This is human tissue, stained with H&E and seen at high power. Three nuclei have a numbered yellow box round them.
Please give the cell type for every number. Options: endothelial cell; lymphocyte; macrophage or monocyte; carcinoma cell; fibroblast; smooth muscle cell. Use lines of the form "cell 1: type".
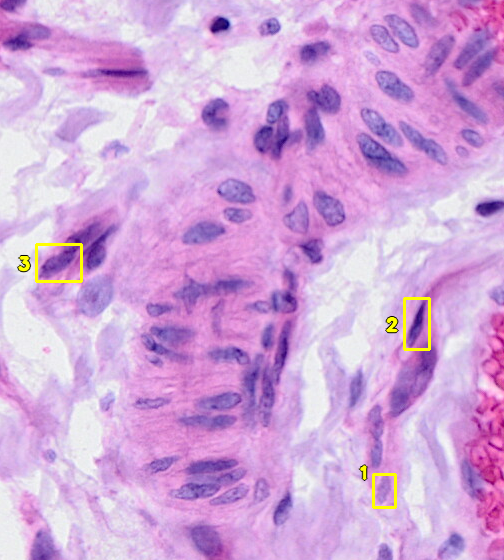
cell 1: smooth muscle cell
cell 2: smooth muscle cell
cell 3: endothelial cell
